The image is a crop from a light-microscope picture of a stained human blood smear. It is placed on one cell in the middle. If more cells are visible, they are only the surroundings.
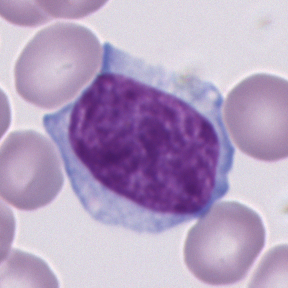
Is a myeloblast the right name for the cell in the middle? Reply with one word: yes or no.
yes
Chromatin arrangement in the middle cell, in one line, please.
The chromatin of this one is coarsely clumped.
